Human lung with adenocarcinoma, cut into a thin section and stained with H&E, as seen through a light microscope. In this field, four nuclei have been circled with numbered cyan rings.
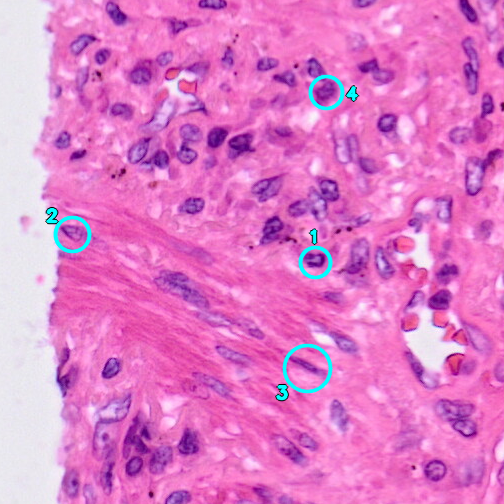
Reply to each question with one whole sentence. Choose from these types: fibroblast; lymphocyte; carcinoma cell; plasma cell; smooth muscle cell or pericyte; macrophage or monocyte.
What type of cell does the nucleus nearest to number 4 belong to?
The nucleus nearest to number 4 is that of a lymphocyte.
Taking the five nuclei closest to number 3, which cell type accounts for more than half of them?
Smooth muscle cells or pericytes account for more than half of the five nuclei nearest to number 3.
